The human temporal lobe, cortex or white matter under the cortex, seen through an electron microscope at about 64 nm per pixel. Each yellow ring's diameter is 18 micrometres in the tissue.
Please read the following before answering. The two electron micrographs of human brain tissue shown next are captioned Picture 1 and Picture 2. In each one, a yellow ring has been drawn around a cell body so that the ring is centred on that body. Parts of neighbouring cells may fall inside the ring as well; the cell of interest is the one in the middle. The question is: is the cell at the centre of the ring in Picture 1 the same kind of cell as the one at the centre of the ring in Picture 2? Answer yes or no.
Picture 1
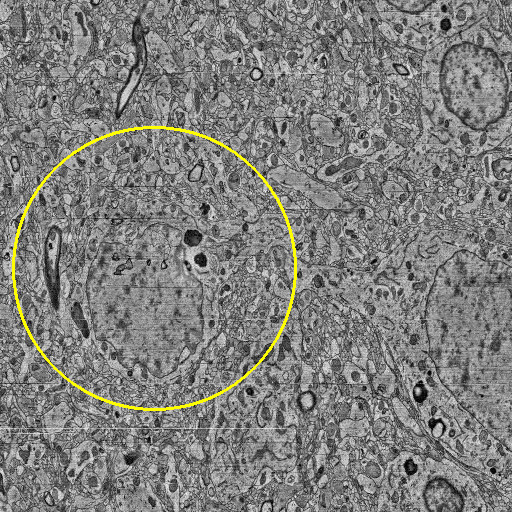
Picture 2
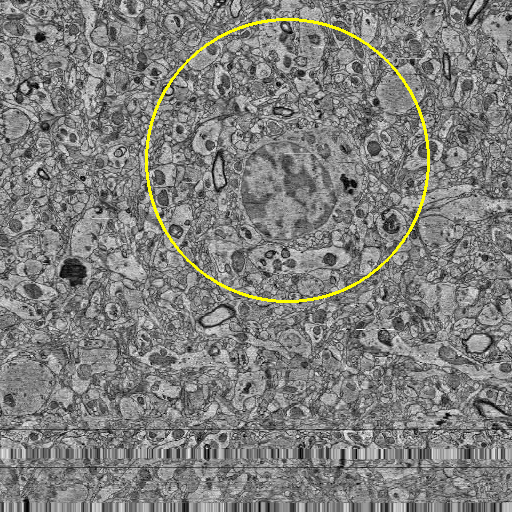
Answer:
no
